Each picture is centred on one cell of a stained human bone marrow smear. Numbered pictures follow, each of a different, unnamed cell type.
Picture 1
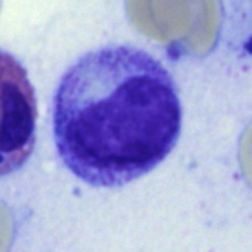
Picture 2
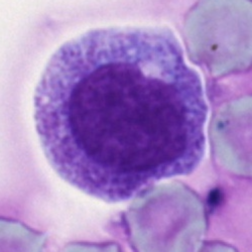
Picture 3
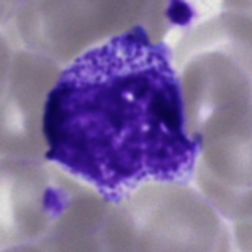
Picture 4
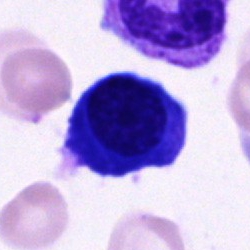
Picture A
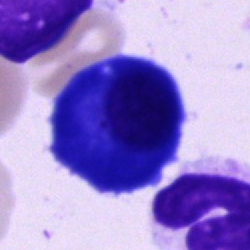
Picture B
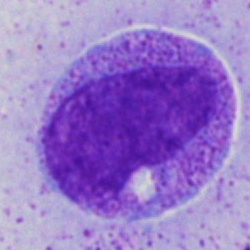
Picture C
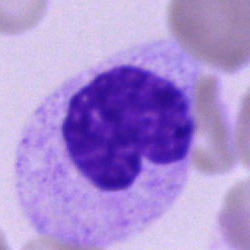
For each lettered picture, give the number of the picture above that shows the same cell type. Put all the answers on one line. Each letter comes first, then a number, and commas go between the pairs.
A 4, B 2, C 1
